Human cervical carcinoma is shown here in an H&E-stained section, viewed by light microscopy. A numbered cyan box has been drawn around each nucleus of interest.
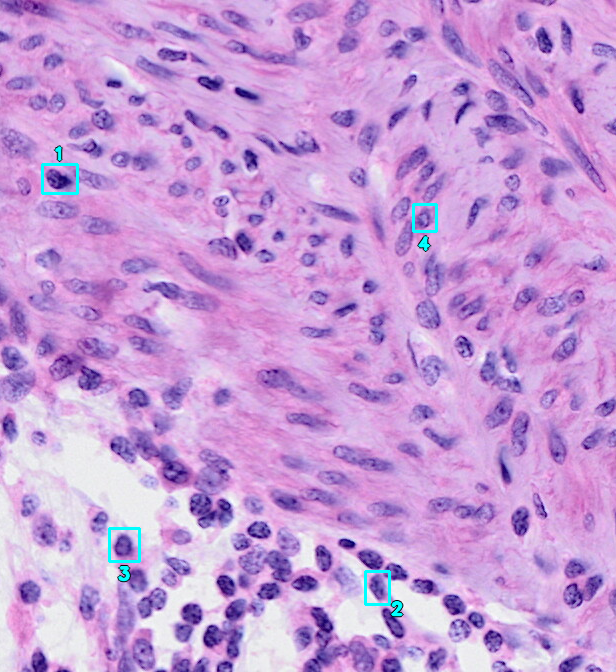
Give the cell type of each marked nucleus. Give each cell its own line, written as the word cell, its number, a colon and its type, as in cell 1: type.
cell 1: lymphocyte
cell 2: lymphocyte
cell 3: lymphocyte
cell 4: smooth muscle cell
